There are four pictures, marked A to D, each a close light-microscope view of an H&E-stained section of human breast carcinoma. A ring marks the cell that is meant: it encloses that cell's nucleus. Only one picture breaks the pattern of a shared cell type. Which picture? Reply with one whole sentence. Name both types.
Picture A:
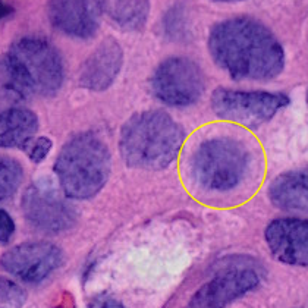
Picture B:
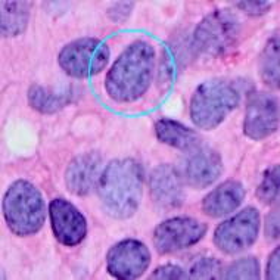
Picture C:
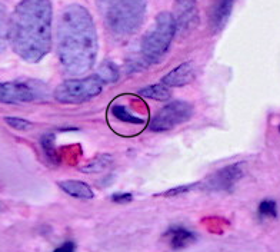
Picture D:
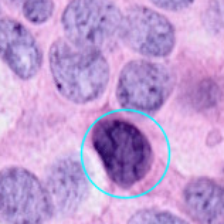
All pictures except C show carcinoma cells; picture C shows an endothelial cell.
